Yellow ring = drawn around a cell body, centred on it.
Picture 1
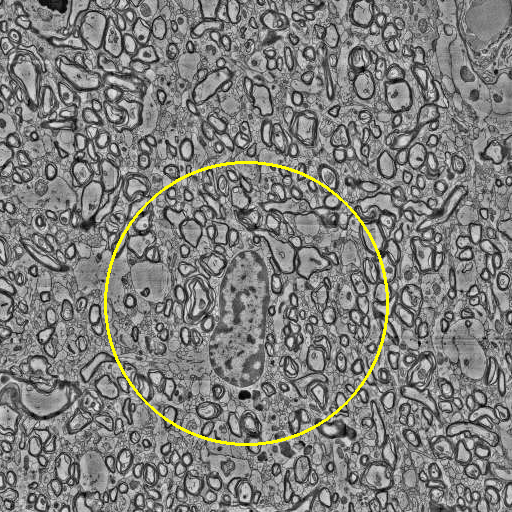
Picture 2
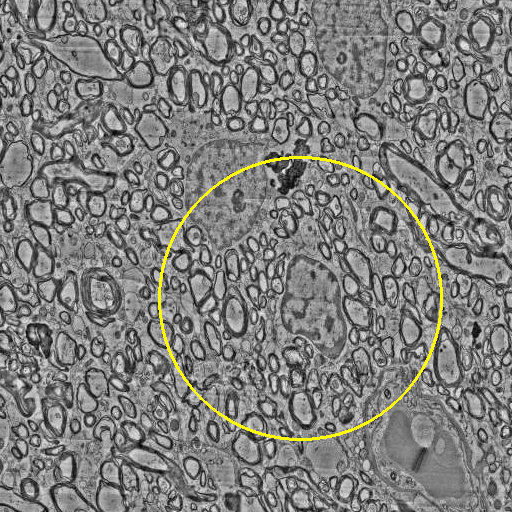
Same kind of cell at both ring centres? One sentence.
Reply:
Yes, they are the same kind of cell.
